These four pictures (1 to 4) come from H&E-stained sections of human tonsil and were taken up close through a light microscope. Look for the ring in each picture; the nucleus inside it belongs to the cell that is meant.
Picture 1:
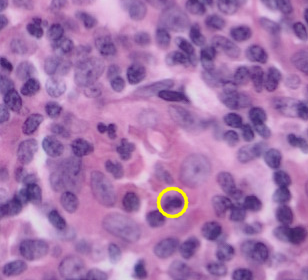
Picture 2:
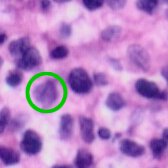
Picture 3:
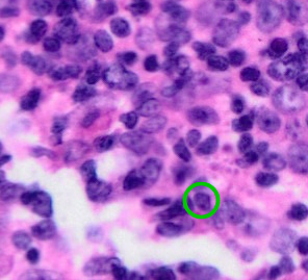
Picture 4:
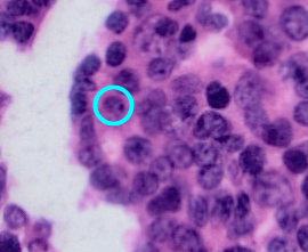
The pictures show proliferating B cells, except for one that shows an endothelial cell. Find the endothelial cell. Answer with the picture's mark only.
1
